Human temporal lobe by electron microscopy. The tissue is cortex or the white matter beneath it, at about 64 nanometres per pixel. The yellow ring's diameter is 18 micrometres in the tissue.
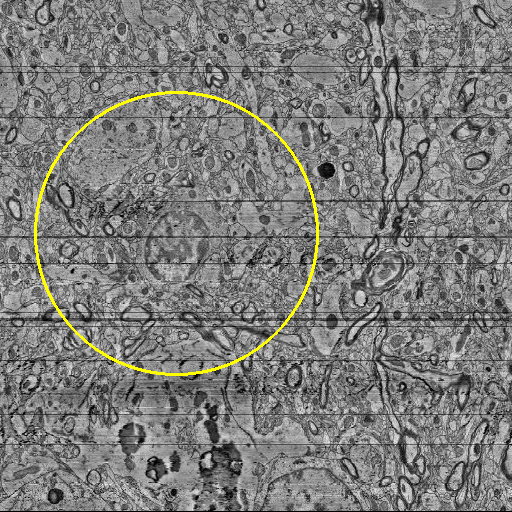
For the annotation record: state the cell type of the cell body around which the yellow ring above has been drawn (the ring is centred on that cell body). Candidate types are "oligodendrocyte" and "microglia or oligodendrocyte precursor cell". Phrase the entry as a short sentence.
The ringed cell is an oligodendrocyte.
